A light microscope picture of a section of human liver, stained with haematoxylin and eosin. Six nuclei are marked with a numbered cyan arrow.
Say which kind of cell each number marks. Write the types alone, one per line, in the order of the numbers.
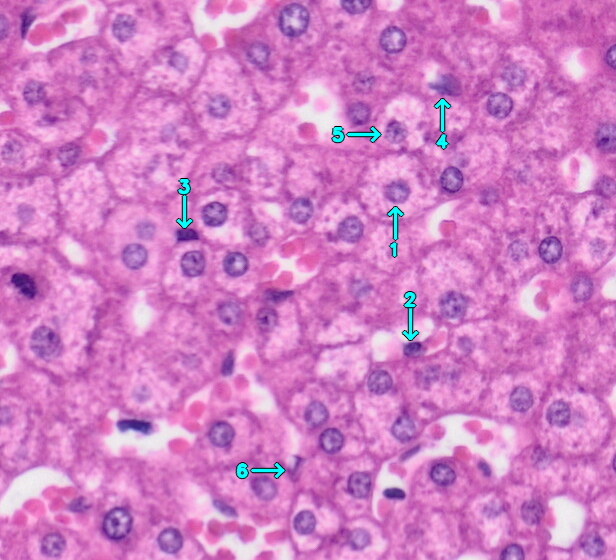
hepatocyte
Kupffer cell
fibroblast or stellate cell
endothelial cell
hepatocyte
endothelial cell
